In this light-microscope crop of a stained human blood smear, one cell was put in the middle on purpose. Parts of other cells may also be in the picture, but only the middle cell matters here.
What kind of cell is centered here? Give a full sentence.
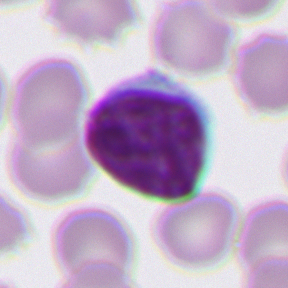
Present in the middle of the crop is a typical lymphocyte.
